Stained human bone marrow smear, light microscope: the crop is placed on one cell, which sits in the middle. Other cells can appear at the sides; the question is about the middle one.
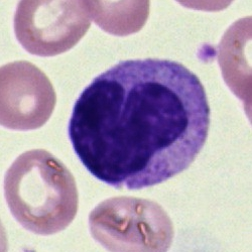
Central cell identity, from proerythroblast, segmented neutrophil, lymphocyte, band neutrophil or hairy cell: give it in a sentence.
The central element of this crop is a cell, namely a band neutrophil.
